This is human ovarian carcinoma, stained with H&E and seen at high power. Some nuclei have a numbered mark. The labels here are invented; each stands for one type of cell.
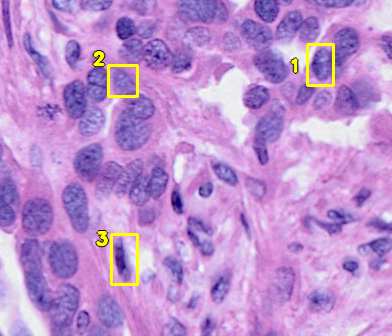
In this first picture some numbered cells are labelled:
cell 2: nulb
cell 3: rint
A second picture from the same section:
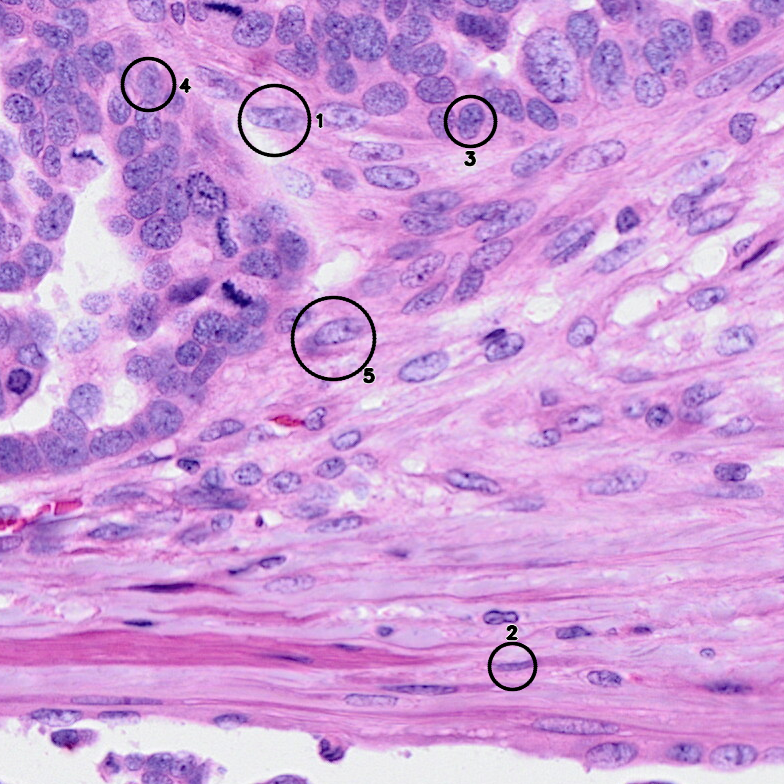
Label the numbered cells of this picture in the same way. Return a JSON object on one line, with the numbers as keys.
{"1": "rint", "2": "rint", "3": "nulb", "4": "nulb", "5": "rint"}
